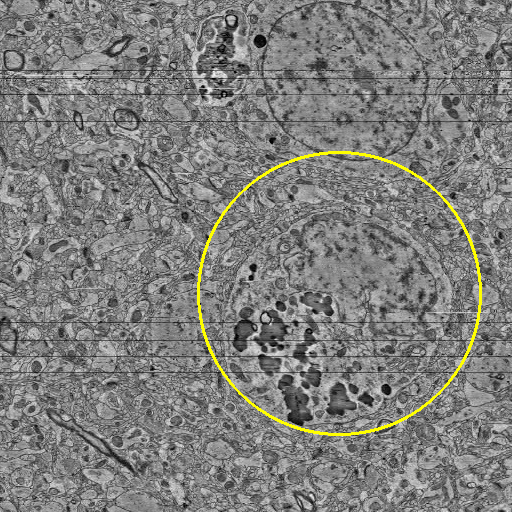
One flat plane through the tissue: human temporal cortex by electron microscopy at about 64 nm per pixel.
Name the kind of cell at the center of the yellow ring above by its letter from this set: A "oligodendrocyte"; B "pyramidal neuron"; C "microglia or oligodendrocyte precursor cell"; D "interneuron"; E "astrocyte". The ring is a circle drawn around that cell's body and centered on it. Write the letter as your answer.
E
